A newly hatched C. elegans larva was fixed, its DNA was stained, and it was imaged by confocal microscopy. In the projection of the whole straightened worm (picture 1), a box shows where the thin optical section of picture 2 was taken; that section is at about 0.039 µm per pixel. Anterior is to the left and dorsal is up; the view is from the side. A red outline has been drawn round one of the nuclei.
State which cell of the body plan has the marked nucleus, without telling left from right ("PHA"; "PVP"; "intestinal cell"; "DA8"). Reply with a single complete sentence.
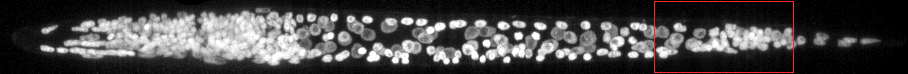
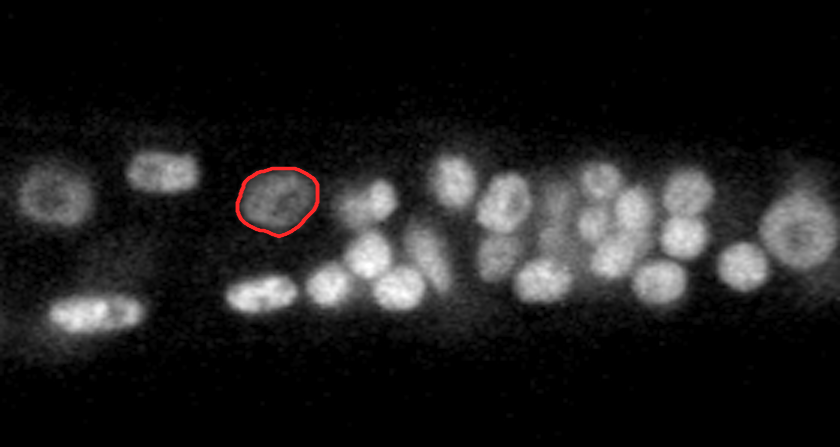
It belongs to an intestinal cell.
